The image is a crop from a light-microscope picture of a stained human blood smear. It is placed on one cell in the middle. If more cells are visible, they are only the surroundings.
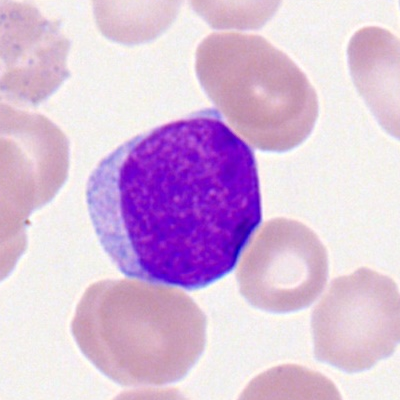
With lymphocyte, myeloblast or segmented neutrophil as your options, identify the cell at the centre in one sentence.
Here the cell in the middle is a myeloblast.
